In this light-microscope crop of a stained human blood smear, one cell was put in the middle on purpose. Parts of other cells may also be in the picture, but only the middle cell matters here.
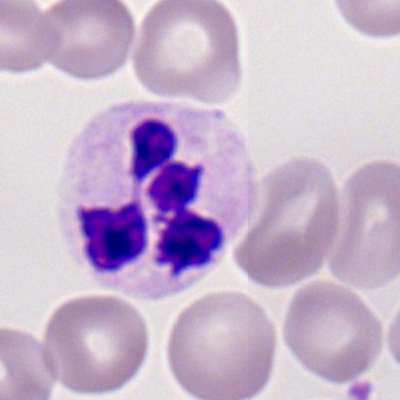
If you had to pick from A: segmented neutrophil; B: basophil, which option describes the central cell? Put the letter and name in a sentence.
The cell centered in the crop is a segmented neutrophil, making option A the correct pick.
